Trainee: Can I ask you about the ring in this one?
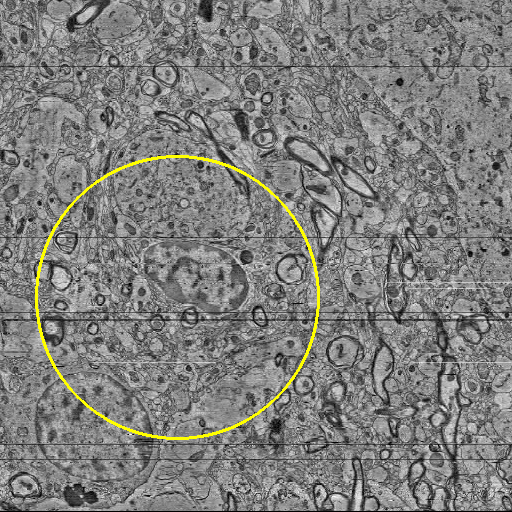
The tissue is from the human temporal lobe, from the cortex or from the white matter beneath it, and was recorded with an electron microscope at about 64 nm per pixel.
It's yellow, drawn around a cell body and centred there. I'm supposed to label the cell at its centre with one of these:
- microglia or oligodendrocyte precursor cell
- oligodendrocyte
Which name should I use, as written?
microglia or oligodendrocyte precursor cell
